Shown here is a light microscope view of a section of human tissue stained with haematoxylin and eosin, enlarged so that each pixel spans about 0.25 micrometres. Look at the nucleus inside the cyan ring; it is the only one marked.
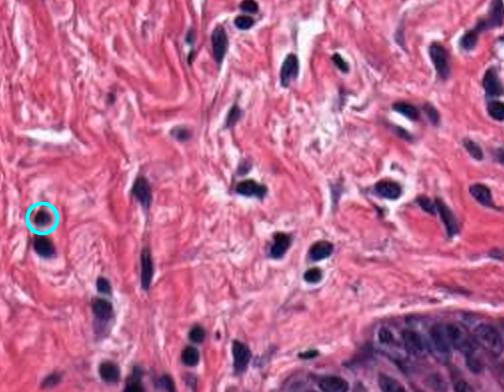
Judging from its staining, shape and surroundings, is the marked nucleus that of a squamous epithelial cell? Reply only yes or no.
no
